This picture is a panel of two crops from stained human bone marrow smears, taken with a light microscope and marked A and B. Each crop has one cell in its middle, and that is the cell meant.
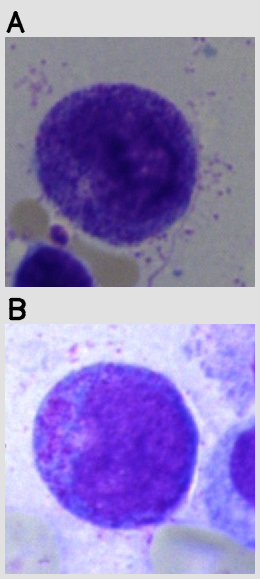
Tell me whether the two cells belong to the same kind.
yes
